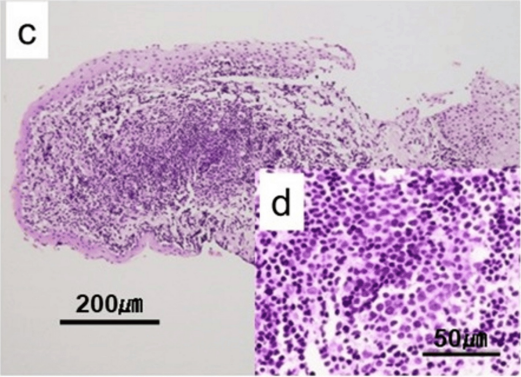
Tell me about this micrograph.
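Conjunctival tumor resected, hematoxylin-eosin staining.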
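A dense, diffuse infiltrate of small-to-medium-sized lymphocytes fills the tissue beneath a thin layer of pink surface epithelium. At low power the cells form a crowded sheet of dark purple nuclei with little pink cytoplasm between them, without obvious follicles or clear borders. A few pale strands of stroma and small vessels run between them. The overlying epithelium is stratified and paler, with the infiltrate pressing up beneath it.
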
